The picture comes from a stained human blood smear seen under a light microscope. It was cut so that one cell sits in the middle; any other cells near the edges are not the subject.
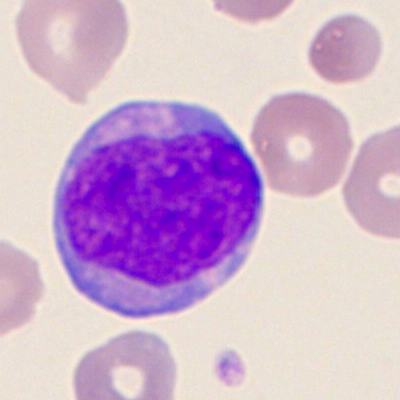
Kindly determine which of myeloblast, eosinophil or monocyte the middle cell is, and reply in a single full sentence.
Here the centrally located cell is a myeloblast.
